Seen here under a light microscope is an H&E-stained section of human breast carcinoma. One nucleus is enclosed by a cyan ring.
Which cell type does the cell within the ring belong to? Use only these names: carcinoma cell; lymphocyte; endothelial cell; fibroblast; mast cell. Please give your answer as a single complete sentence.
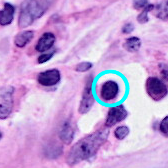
So far as cell type goes, the cell within the ring is a lymphocyte.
